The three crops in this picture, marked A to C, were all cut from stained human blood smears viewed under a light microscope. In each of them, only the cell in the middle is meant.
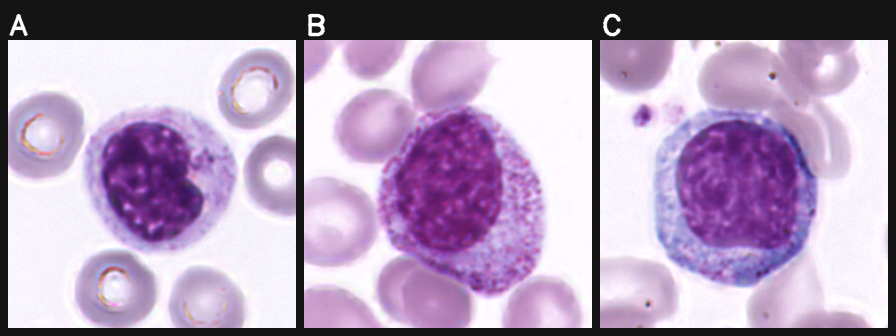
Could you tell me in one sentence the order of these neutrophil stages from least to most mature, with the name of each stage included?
In maturational order, earliest to latest, the sequence is crop C (a promyelocyte), crop B (a myelocyte) and crop A (a metamyelocyte).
